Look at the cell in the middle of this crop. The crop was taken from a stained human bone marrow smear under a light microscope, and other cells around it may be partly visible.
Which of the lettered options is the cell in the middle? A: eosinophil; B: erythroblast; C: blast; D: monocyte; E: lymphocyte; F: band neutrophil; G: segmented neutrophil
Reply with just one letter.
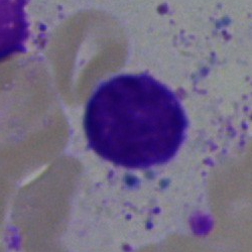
E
